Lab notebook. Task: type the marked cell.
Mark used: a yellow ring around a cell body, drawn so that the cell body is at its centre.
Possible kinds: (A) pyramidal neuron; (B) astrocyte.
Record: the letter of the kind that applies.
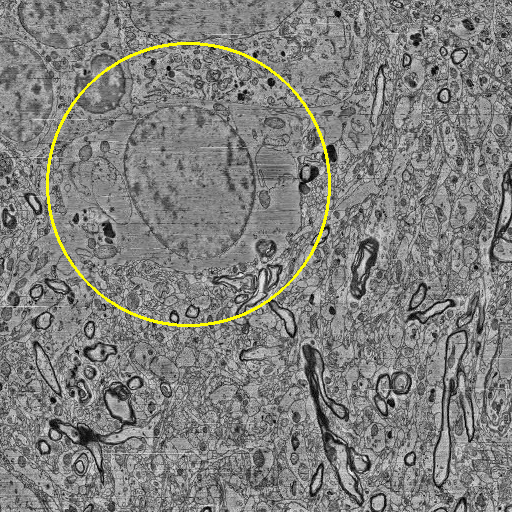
B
